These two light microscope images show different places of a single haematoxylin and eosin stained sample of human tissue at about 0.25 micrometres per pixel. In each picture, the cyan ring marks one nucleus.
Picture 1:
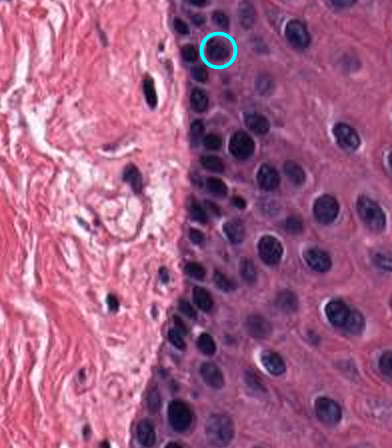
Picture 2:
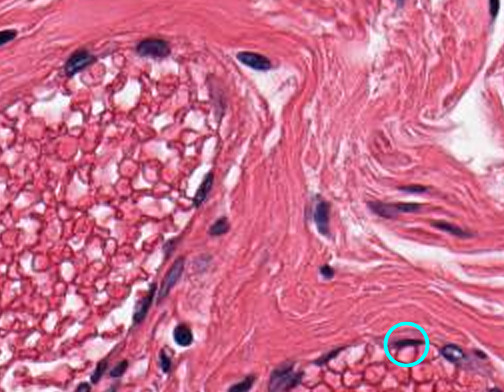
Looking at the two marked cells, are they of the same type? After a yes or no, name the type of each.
No, the first is a squamous epithelial cell and the second an endothelial cell.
